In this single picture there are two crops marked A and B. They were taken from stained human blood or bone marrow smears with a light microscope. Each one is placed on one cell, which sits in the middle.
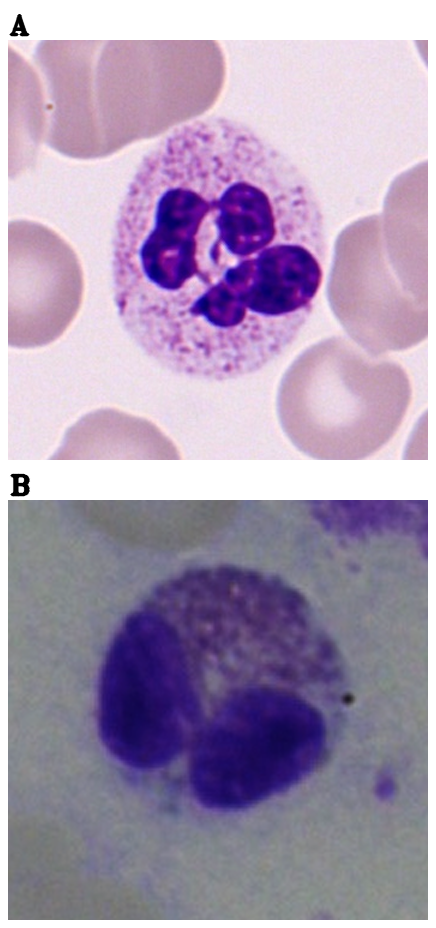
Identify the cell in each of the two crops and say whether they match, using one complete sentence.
No, a neutrophil lies at the centre of crop A, and an eosinophil lies at the centre of crop B.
